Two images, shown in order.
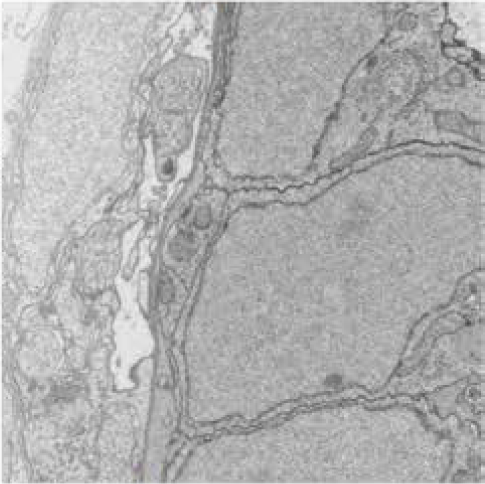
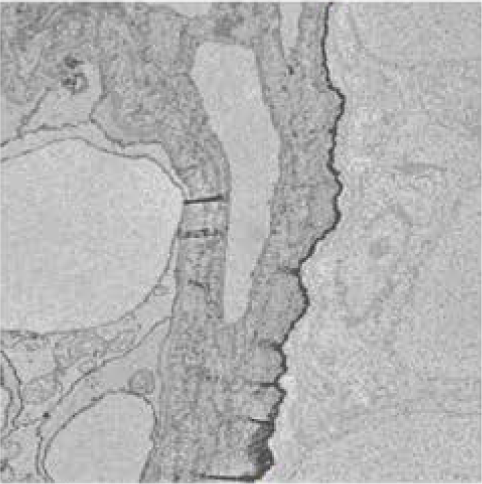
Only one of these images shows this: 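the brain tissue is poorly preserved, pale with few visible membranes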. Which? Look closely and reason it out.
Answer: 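Second image: inside the dark boundary, the tissue is pale and washed out with barely any membranes seen. That points to this answer: the second image.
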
